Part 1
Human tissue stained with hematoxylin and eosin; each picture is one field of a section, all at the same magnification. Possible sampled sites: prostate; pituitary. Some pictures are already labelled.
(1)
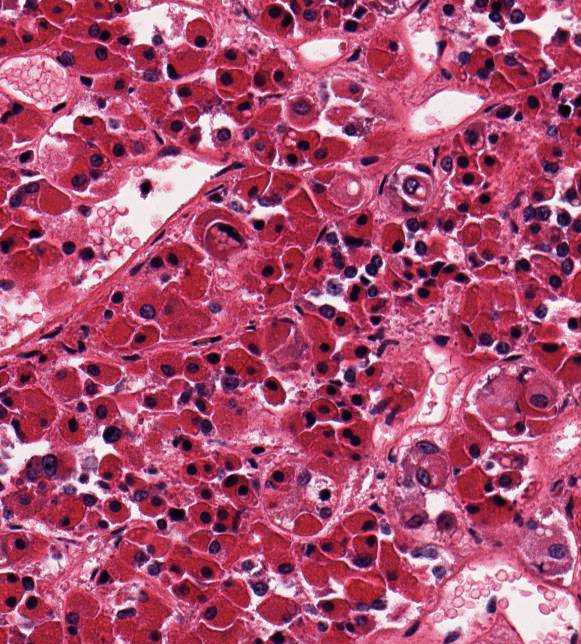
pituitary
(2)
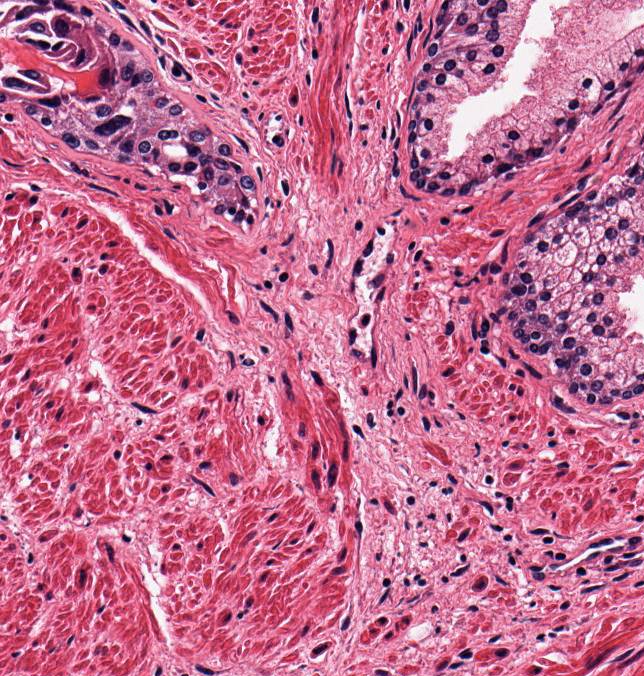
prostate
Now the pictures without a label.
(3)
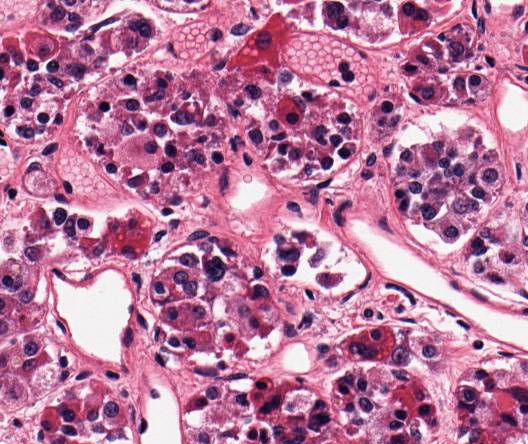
pituitary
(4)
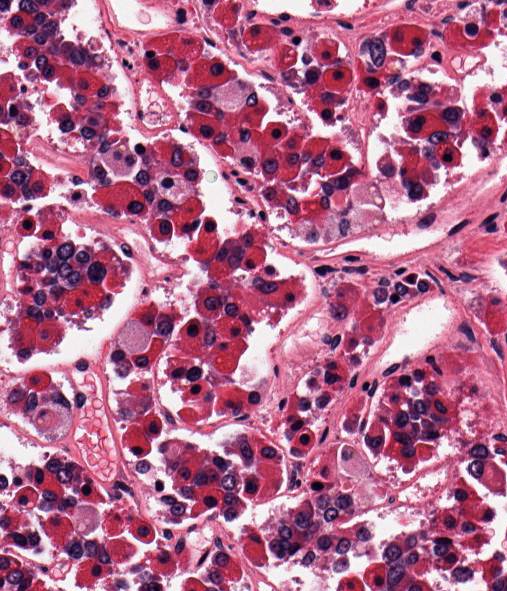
pituitary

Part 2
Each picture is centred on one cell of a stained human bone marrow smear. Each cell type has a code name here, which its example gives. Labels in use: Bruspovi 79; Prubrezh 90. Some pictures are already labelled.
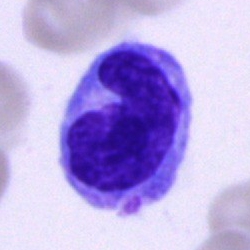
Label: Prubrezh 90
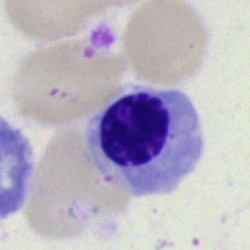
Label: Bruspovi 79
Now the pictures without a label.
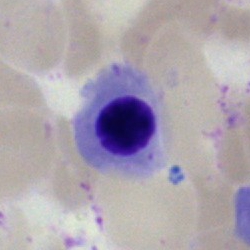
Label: Bruspovi 79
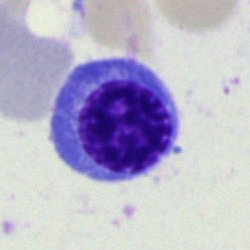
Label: Bruspovi 79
